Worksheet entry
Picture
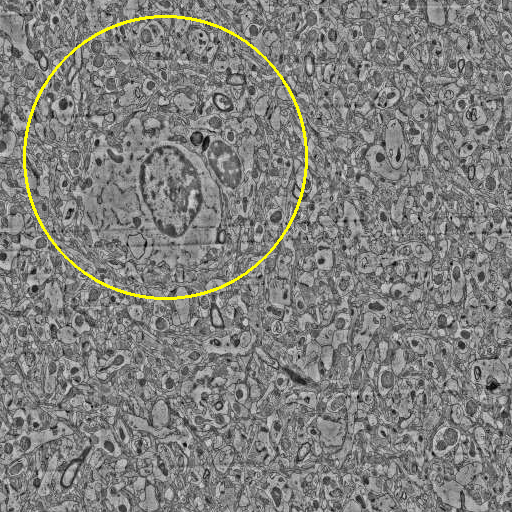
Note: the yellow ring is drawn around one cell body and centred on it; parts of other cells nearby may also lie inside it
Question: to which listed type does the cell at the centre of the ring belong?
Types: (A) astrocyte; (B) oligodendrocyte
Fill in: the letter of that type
A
